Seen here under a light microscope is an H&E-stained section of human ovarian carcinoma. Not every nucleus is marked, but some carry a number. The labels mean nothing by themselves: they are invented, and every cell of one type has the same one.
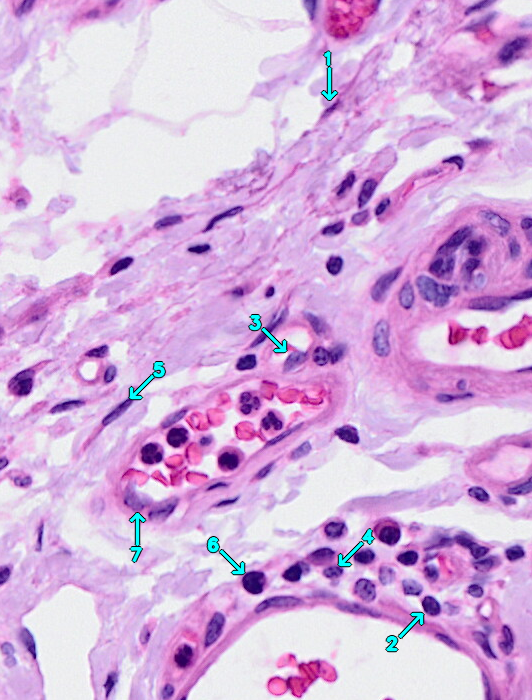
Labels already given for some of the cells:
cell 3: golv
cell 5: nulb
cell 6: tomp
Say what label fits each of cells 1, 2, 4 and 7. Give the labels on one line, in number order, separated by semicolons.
nulb; tomp; tomp; golv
